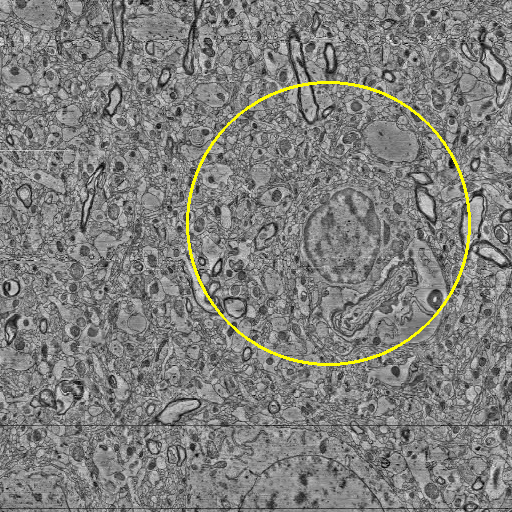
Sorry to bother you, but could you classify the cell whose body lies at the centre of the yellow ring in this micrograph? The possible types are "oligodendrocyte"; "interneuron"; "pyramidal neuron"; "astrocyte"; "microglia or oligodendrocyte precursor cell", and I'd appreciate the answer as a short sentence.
The ringed cell body is that of an oligodendrocyte.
